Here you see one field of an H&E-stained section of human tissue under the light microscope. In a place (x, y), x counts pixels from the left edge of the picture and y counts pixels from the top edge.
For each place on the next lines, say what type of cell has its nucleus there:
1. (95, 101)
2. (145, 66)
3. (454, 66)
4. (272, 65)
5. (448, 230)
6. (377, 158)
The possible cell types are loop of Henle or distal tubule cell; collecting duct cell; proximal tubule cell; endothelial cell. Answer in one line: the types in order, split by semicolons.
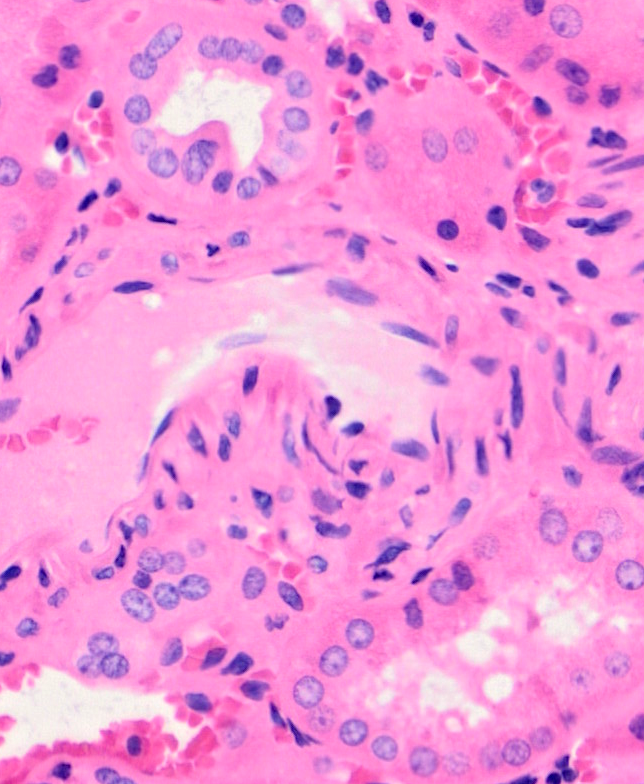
endothelial cell; collecting duct cell; endothelial cell; collecting duct cell; proximal tubule cell; proximal tubule cell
